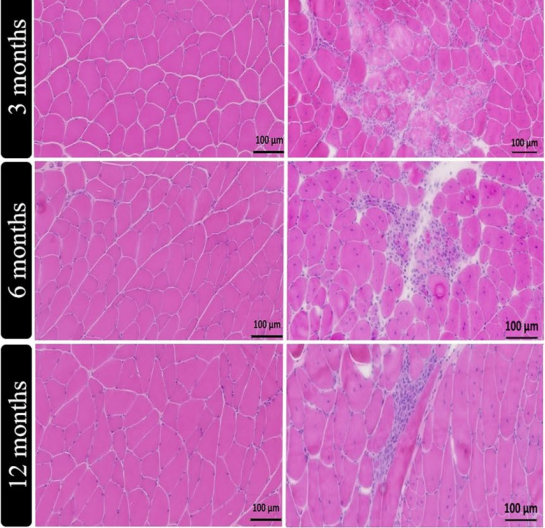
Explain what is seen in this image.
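The images show cross-sectioned skeletal muscle, with pink polygonal fibres outlined by thin pale spaces. In the left-hand column, the fibres are closely packed and even in size, with their few purple nuclei at the fibre edges. In the right-hand column, the fibres vary more in size, and several contain nuclei that lie away from the edge. Patches of densely packed small dark nuclei lie between the fibres, and nearby fibres look pale or broken up, pointing to inflammatory infiltrates and degenerating myofibers.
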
